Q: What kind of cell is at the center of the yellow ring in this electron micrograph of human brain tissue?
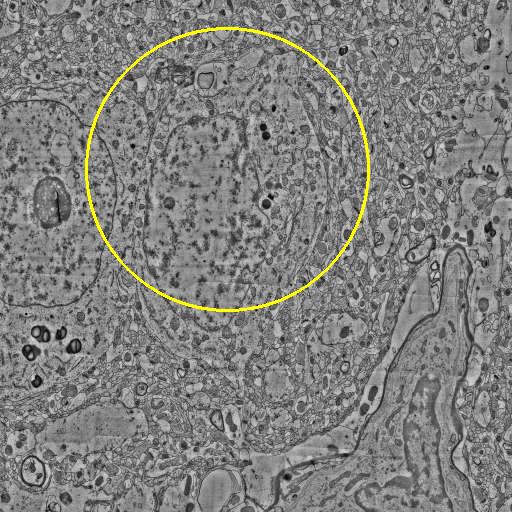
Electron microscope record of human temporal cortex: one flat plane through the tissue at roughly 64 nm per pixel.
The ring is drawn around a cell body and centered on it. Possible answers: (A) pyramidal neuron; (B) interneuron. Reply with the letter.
B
